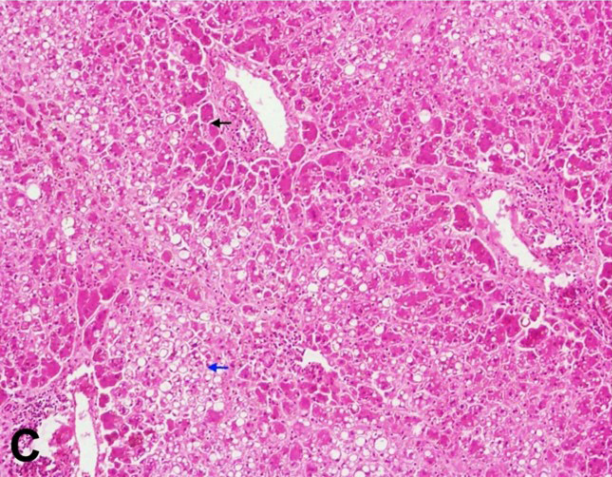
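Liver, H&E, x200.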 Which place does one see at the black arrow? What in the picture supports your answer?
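Zone 1. The black arrow lies next to a vessel with surrounding connective tissue. Hepatocytes near it have dense, deep pink cytoplasm with few vacuoles.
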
